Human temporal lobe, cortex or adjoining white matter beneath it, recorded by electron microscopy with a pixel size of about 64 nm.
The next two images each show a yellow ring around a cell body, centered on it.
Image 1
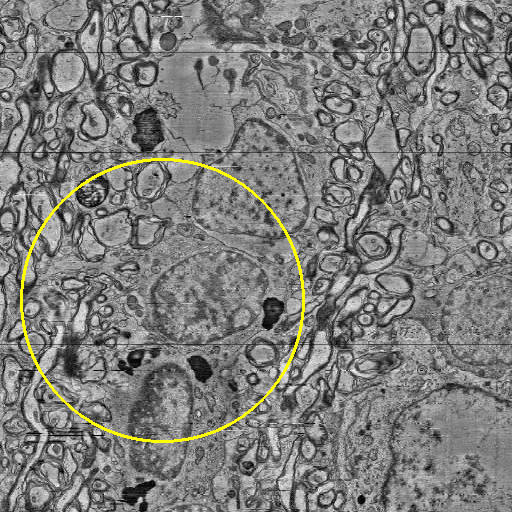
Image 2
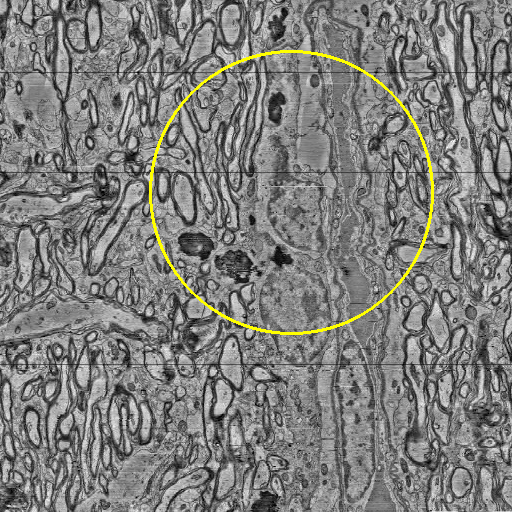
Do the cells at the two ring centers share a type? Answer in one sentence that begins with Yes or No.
No, across the two images the cells at the ring centers are of two types.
